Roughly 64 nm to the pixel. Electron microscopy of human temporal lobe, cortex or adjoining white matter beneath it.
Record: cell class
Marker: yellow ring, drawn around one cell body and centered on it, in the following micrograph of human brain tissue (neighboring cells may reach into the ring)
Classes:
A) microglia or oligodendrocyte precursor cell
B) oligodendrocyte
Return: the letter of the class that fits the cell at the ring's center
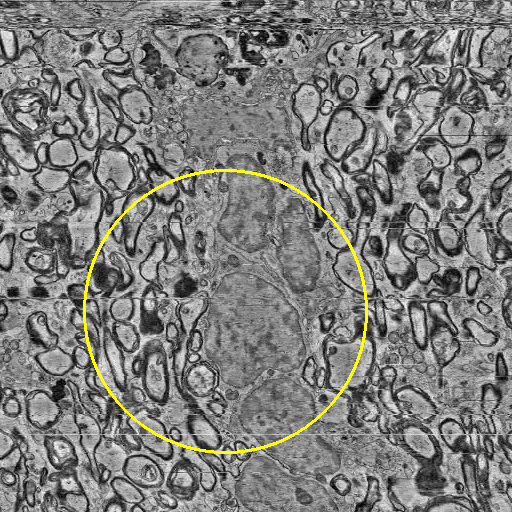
B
